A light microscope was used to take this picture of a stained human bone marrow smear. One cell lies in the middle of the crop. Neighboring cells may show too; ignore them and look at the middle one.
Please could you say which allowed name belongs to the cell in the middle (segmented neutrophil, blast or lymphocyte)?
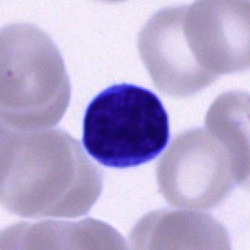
lymphocyte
